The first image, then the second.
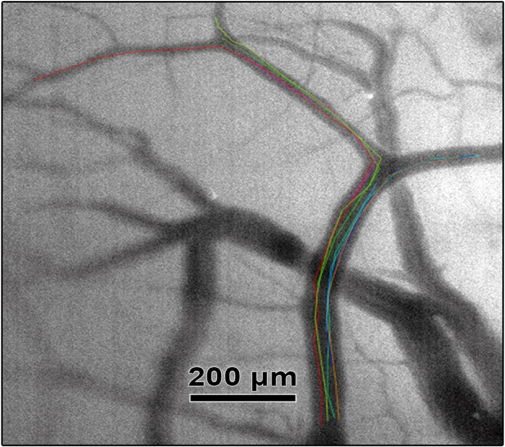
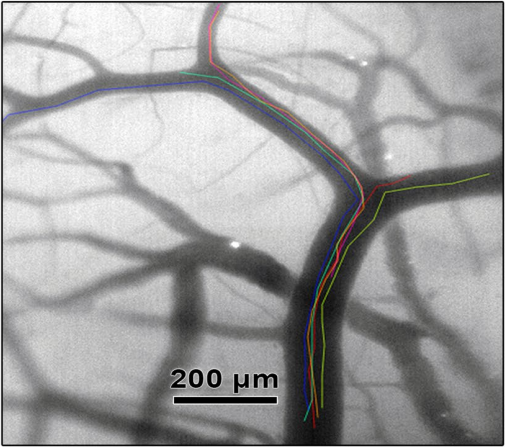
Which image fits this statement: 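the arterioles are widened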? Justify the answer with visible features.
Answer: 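Second image: the main dark vessel and its branches look broad at the same scale bar. First image: the corresponding vessels look narrower. On this evidence: the second image.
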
